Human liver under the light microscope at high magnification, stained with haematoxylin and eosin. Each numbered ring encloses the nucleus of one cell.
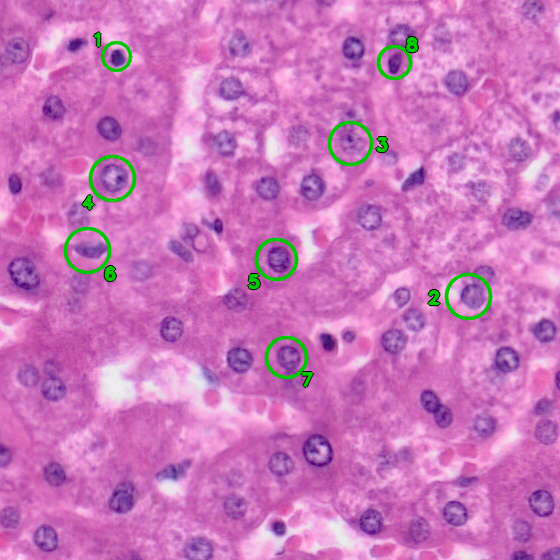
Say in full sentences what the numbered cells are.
Cell 1 is a lymphocyte. Cells 2, 3, 4, 5 and 7 are hepatocytes. Cell 6 is an endothelial cell. Cell 8 is a fibroblast or stellate cell.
